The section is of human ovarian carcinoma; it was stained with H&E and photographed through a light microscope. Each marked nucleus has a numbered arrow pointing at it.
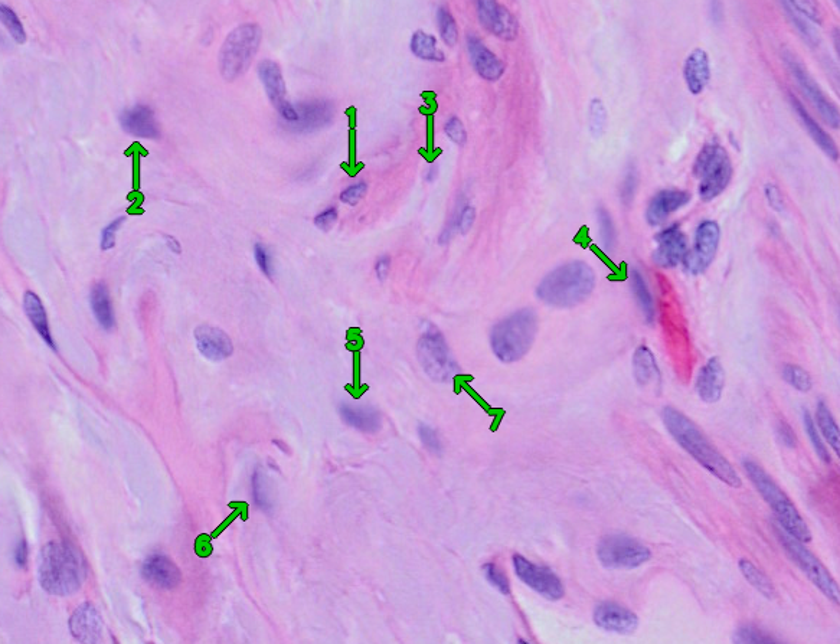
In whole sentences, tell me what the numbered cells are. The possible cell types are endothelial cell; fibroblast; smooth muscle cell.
Cell 1 is a smooth muscle cell, cell 2 is a fibroblast, cell 3 is a smooth muscle cell, cell 4 is an endothelial cell, cell 5 is a fibroblast, cell 6 is a fibroblast and cell 7 is a fibroblast.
